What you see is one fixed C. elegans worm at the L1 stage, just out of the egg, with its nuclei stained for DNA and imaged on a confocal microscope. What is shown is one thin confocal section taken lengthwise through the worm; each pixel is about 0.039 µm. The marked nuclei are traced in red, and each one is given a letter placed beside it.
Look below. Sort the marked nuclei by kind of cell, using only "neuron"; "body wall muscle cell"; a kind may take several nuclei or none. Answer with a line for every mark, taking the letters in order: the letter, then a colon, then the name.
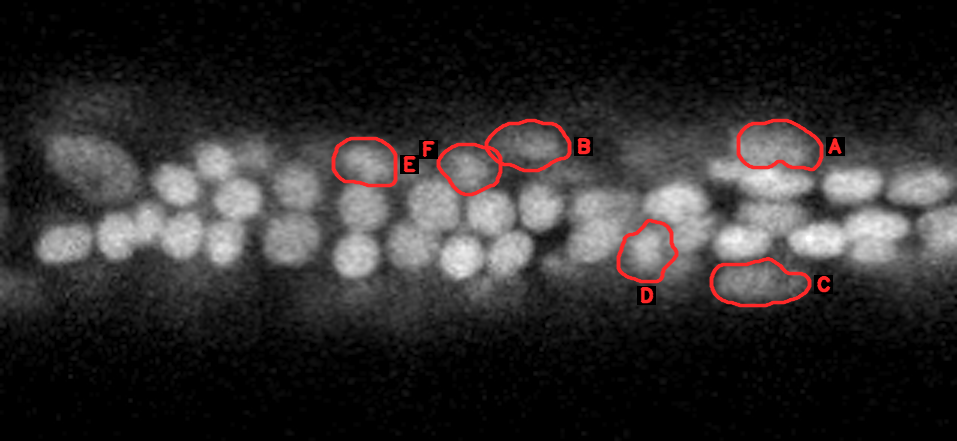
A: body wall muscle cell
B: body wall muscle cell
C: body wall muscle cell
D: neuron
E: neuron
F: neuron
